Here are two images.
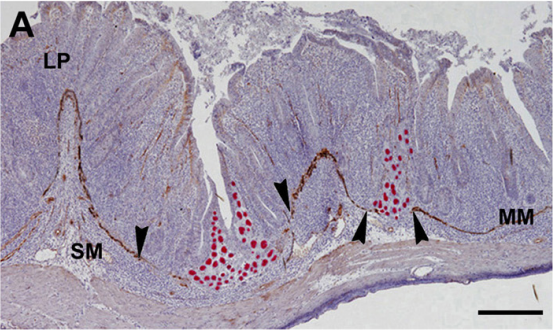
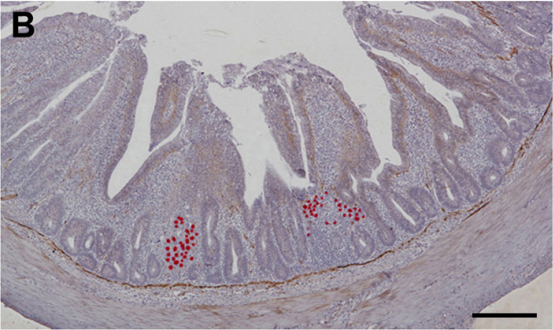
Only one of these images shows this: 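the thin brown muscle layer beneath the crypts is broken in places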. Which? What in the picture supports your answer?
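The first image. Second image: the brown line beneath the crypts runs without gaps. First image: the brown line is interrupted at several points where red round bodies lie at the mucosal base.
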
